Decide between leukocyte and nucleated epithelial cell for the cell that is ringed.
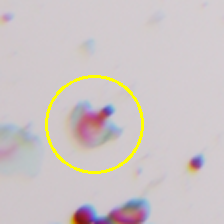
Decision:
I take the ringed cell for a nucleated epithelial cell.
